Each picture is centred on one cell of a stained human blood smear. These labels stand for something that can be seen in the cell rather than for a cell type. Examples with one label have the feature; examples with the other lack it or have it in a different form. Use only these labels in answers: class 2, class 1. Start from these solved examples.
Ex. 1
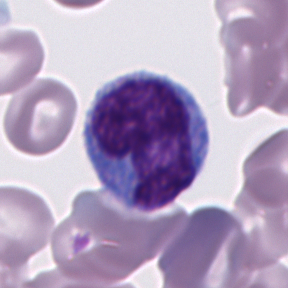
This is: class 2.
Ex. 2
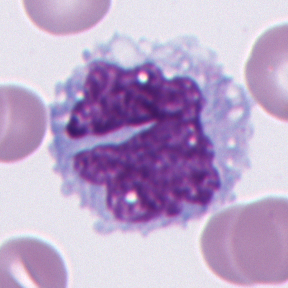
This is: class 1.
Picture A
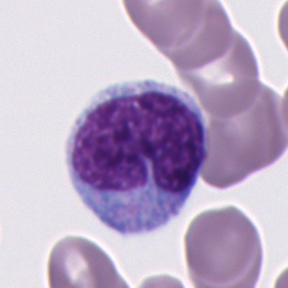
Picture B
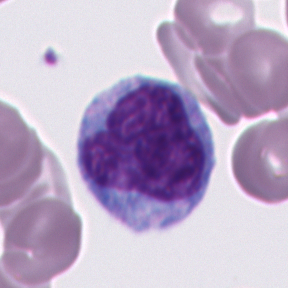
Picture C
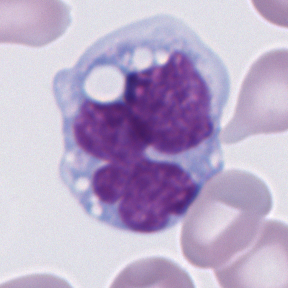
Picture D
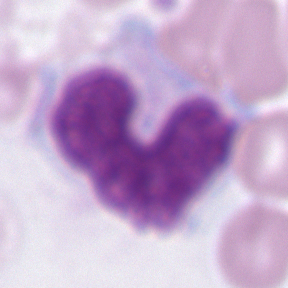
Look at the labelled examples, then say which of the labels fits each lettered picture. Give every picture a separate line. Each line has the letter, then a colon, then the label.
A: class 2.
B: class 2.
C: class 1.
D: class 2.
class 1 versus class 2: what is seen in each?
In class 1: vacuoles present. In class 2: no vacuoles.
